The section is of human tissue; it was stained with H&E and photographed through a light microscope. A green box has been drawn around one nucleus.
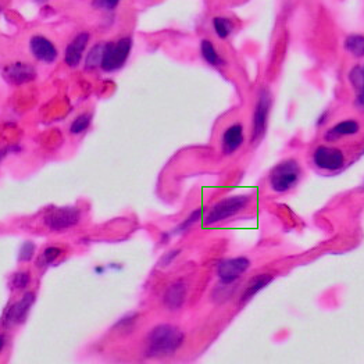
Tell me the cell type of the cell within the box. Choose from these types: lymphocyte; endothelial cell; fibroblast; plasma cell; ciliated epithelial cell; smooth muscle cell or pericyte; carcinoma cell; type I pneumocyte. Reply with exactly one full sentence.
So far as cell type goes, the cell within the box is a type I pneumocyte.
